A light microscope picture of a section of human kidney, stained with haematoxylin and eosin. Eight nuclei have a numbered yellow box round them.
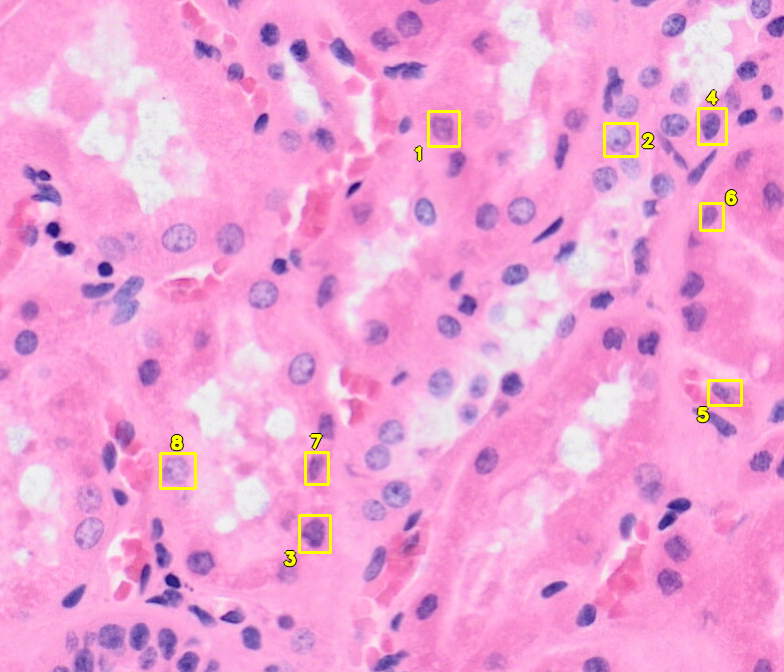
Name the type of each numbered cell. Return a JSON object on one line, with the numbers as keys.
{"1": "proximal tubule cell", "2": "loop of Henle or distal tubule cell", "3": "proximal tubule cell", "4": "loop of Henle or distal tubule cell", "5": "endothelial cell", "6": "proximal tubule cell", "7": "proximal tubule cell", "8": "proximal tubule cell"}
